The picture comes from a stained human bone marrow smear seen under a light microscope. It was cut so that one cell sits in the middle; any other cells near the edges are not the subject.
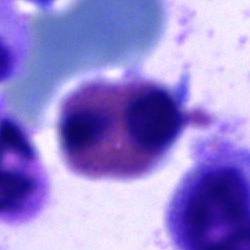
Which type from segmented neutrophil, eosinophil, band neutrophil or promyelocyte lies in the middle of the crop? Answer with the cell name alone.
eosinophil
